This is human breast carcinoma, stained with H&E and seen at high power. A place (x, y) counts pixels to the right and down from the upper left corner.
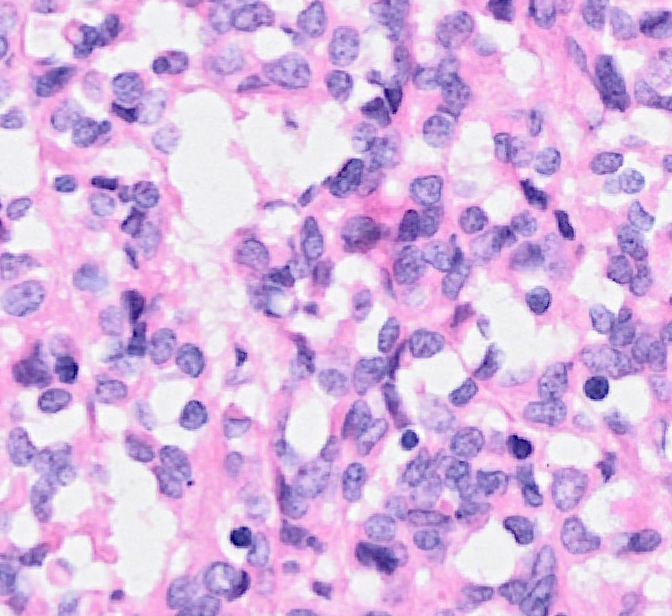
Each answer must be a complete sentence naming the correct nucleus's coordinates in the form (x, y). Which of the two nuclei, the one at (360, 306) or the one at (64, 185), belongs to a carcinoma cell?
Of these two nuclei, only the one at (360, 306) belongs to a carcinoma cell.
